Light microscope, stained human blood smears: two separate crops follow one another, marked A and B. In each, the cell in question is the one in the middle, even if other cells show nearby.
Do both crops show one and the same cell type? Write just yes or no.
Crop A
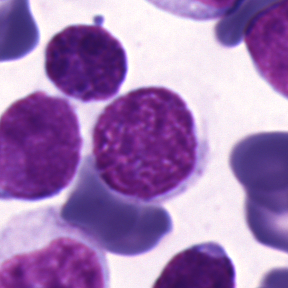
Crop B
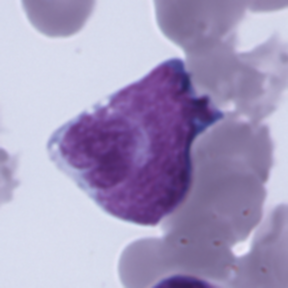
yes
